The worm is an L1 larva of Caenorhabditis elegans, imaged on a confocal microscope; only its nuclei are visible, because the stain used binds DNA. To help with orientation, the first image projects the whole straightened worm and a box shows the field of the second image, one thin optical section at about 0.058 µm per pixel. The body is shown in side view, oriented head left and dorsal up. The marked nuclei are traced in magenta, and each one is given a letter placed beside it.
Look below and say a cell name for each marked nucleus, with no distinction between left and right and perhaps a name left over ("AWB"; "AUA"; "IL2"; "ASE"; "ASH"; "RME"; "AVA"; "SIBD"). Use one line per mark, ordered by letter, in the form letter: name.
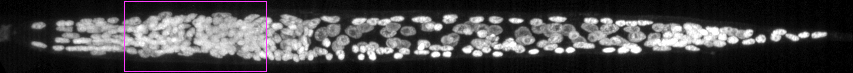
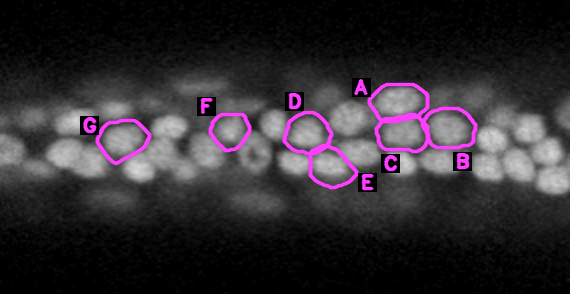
A: AWB
B: ASE
C: ASH
D: AVA
E: SIBD
F: RME
G: IL2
